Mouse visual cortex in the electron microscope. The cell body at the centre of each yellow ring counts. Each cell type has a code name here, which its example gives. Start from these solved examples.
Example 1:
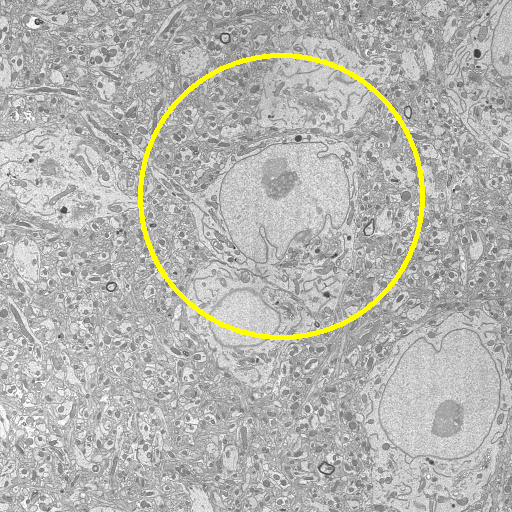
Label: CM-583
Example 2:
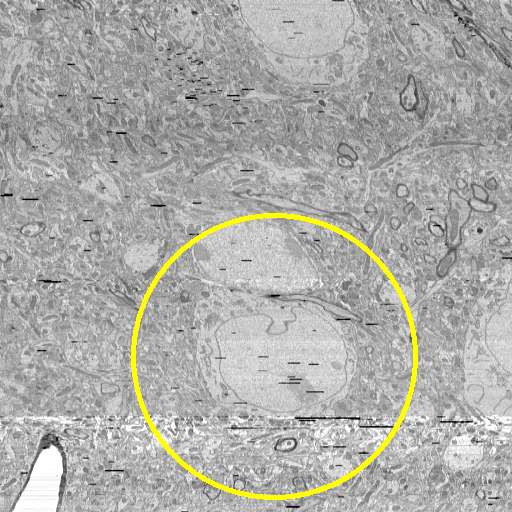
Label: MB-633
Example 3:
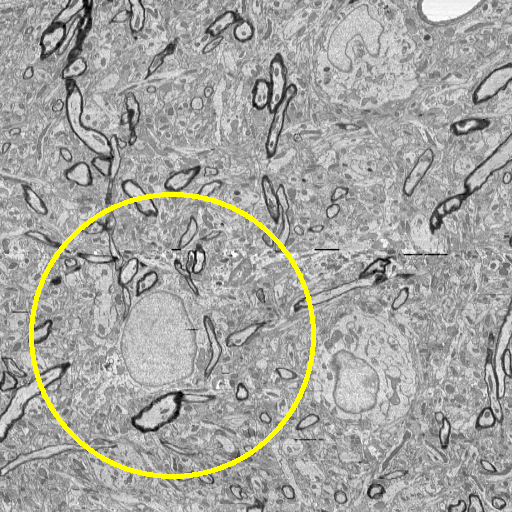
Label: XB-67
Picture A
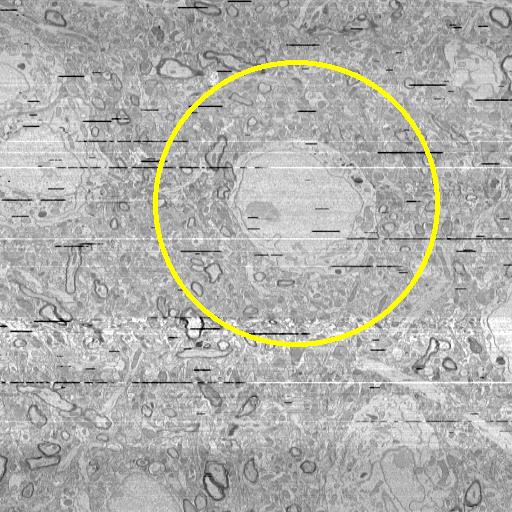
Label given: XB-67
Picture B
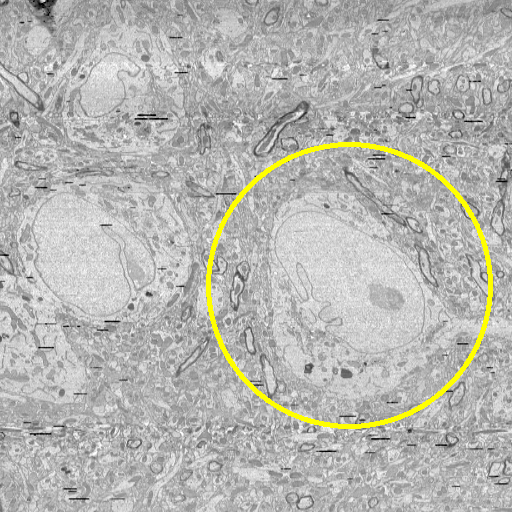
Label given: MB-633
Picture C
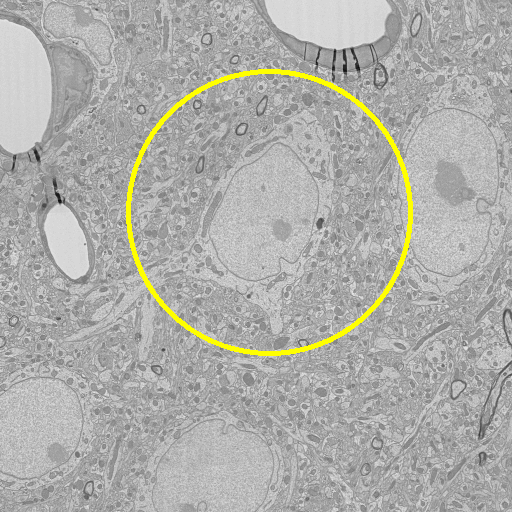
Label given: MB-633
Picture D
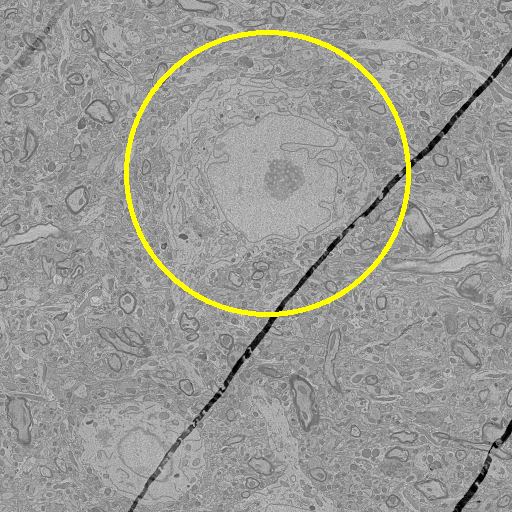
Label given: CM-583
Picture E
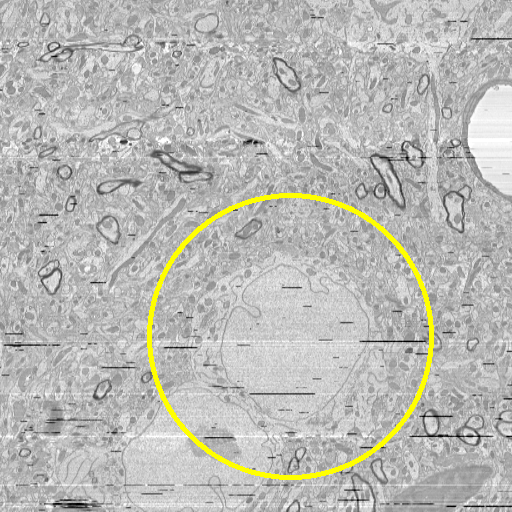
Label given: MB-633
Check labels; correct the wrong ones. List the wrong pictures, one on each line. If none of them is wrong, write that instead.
A should be MB-633, not XB-67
